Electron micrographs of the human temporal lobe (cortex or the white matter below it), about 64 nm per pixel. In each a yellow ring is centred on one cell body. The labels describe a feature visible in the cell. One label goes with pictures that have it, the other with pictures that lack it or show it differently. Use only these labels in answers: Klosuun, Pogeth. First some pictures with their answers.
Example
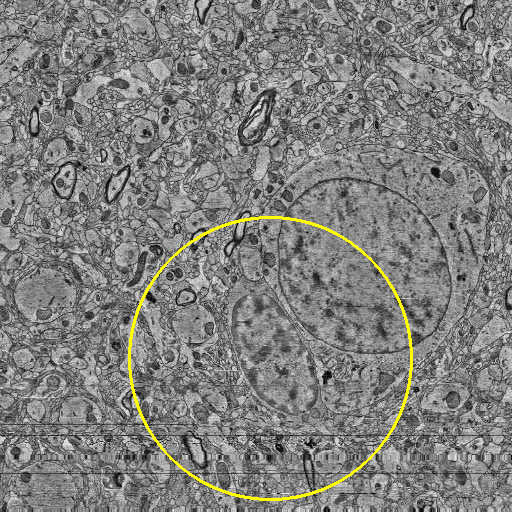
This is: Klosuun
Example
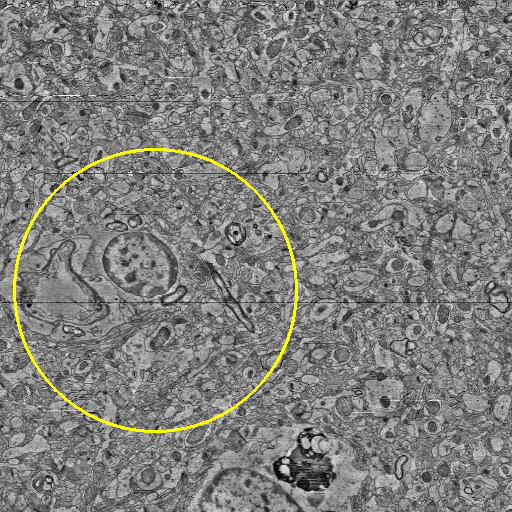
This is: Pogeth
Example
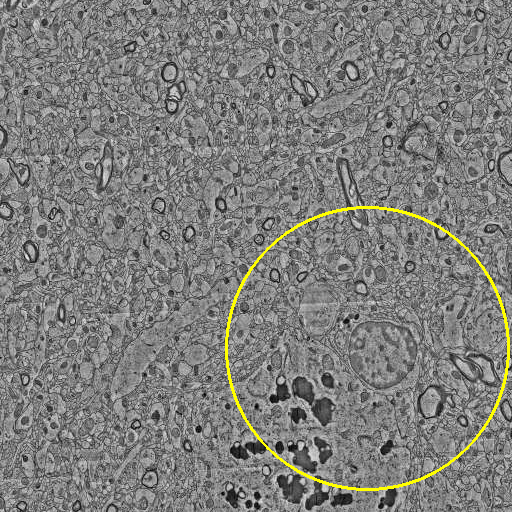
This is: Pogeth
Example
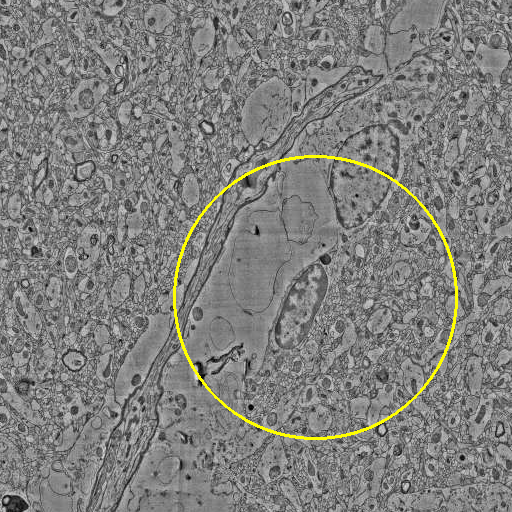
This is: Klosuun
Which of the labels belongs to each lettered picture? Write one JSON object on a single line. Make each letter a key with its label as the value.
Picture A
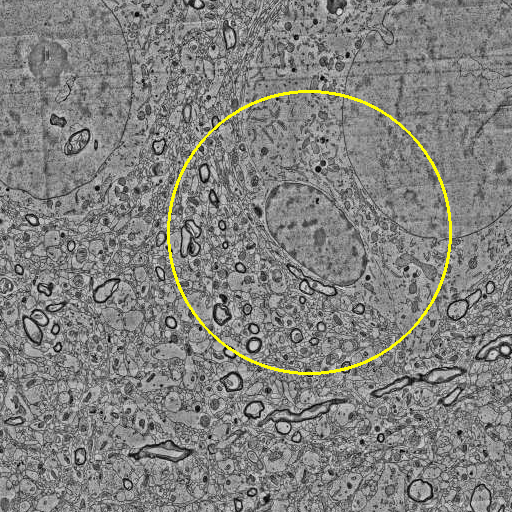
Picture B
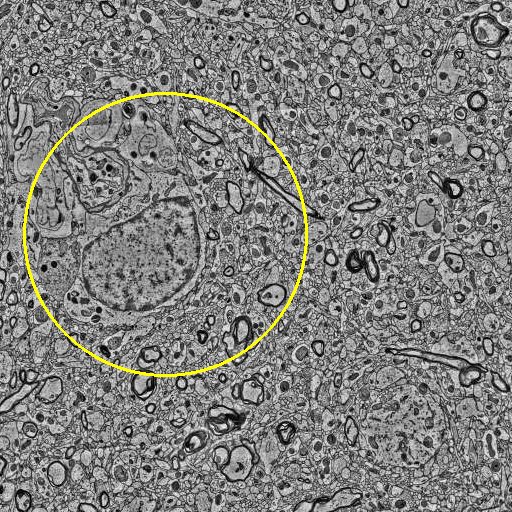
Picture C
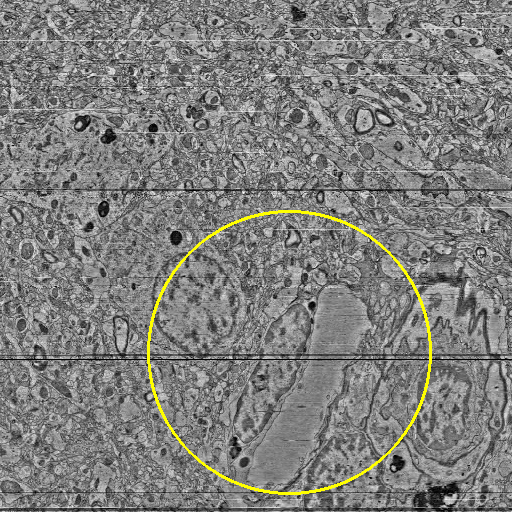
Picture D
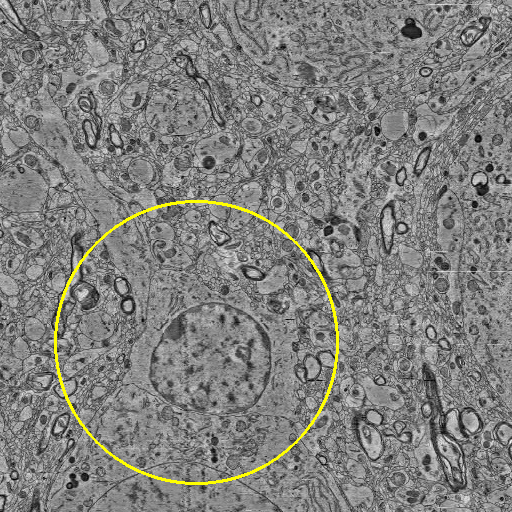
{"A": "Klosuun", "B": "Pogeth", "C": "Klosuun", "D": "Pogeth"}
